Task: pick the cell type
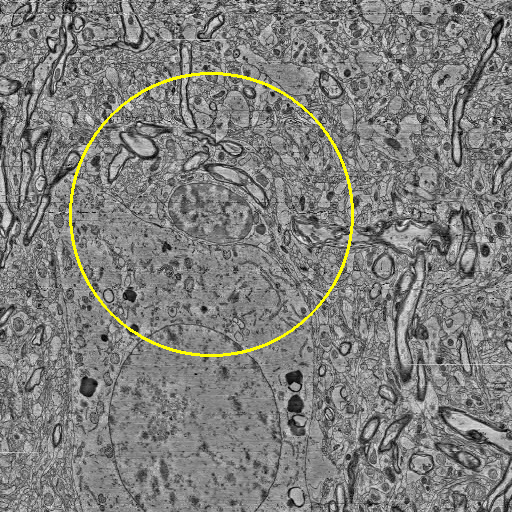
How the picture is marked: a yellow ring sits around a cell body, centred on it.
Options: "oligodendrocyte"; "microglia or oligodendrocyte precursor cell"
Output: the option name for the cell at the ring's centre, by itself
microglia or oligodendrocyte precursor cell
